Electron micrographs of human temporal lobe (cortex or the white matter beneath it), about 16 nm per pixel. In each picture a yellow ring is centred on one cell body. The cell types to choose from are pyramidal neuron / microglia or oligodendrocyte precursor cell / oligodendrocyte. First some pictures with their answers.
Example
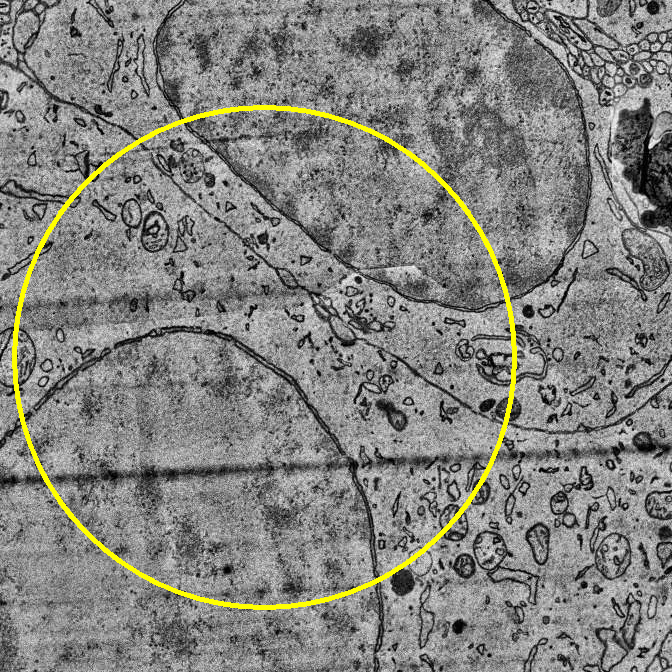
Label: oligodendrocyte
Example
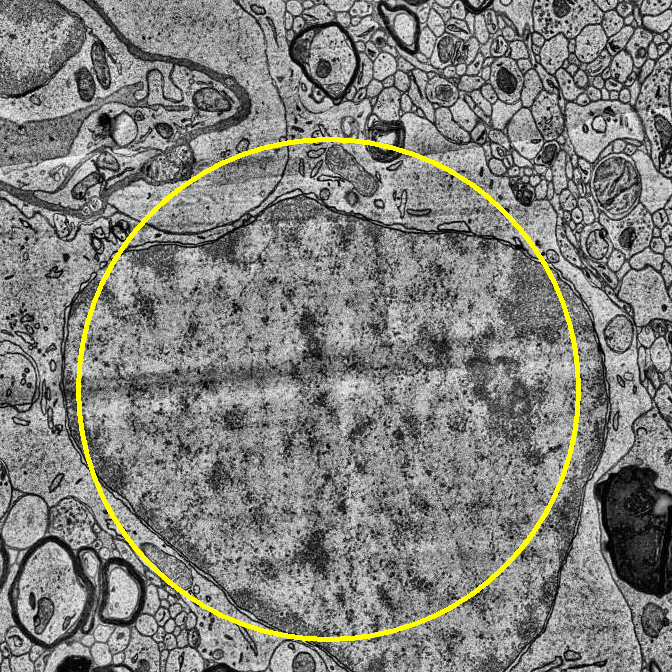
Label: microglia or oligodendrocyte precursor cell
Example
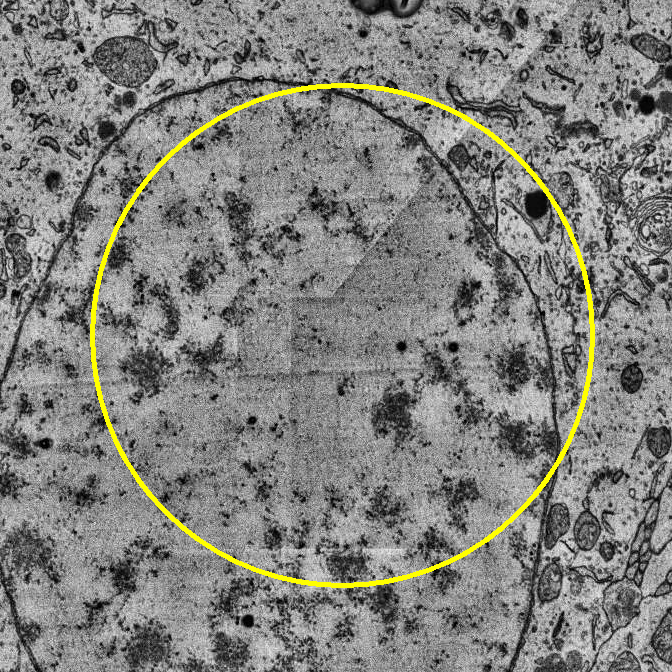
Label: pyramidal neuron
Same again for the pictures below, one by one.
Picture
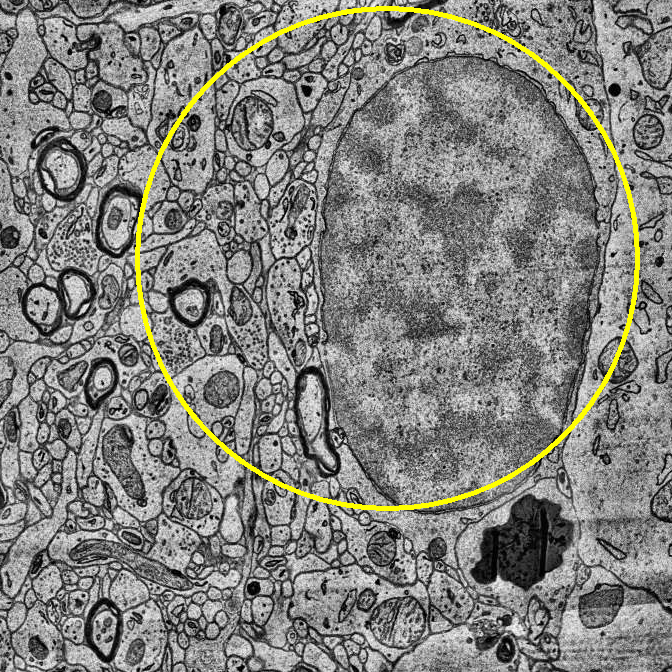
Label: oligodendrocyte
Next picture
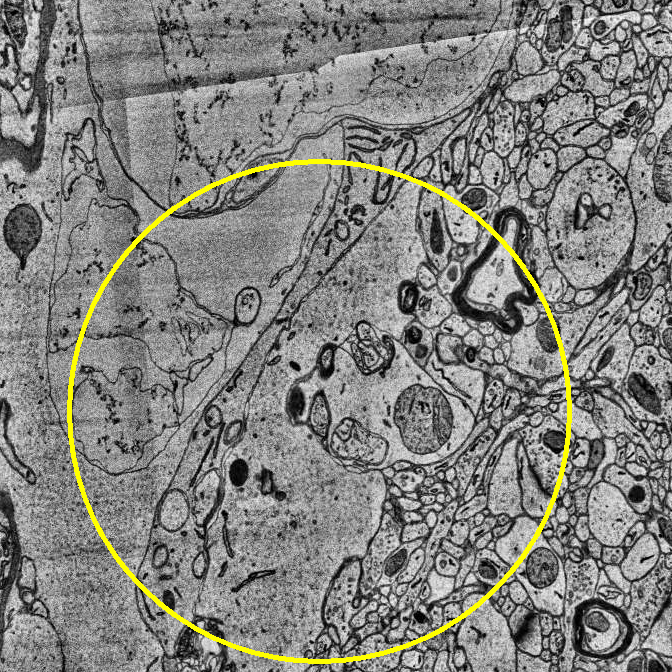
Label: microglia or oligodendrocyte precursor cell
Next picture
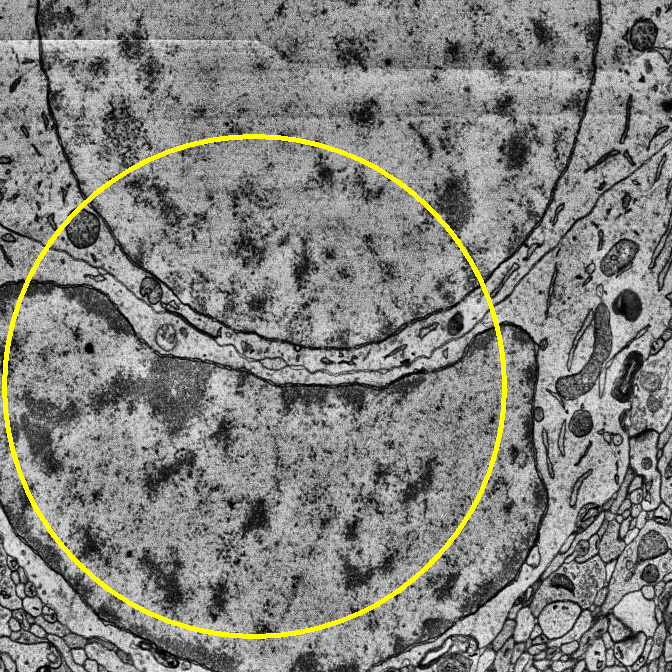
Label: microglia or oligodendrocyte precursor cell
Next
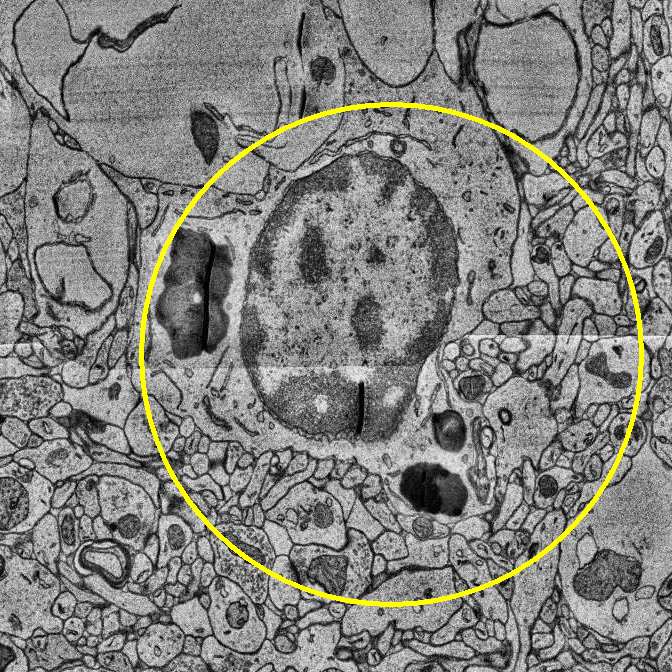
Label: microglia or oligodendrocyte precursor cell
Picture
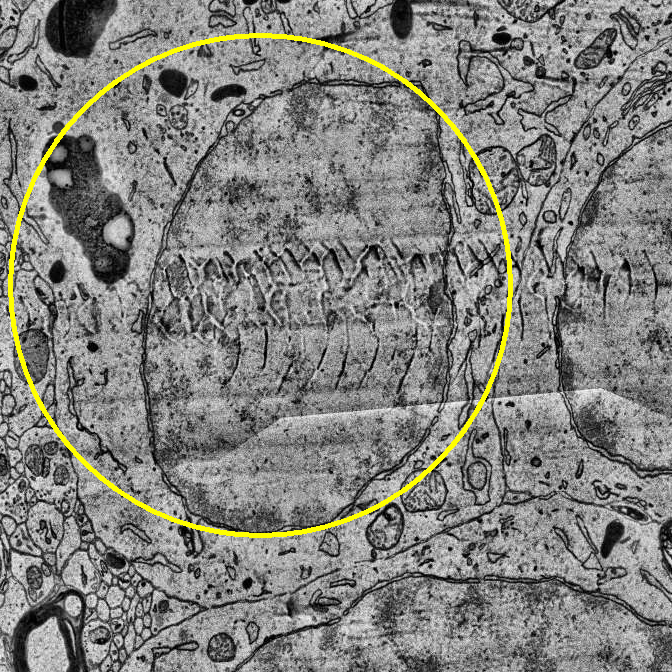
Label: pyramidal neuron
